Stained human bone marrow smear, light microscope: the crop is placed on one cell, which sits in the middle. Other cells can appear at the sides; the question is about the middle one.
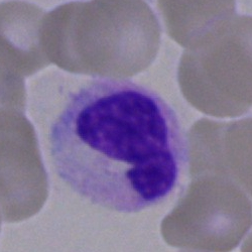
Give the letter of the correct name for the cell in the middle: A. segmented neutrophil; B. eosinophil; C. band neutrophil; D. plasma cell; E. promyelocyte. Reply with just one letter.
C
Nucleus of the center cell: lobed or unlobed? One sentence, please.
Round, oval or kidney-shaped, the nucleus is one compact mass.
